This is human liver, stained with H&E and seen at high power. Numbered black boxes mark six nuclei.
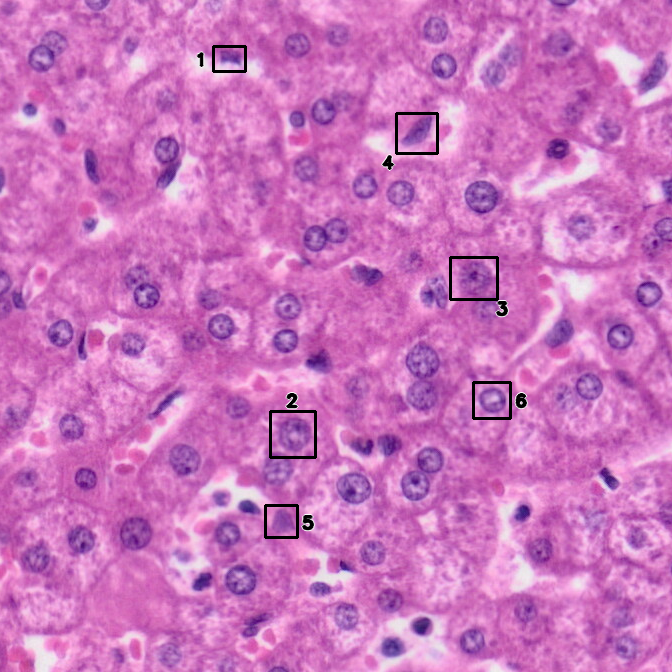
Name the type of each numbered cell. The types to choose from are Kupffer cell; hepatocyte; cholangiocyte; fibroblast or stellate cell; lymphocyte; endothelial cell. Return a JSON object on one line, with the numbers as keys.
{"1": "endothelial cell", "2": "hepatocyte", "3": "hepatocyte", "4": "Kupffer cell", "5": "endothelial cell", "6": "hepatocyte"}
